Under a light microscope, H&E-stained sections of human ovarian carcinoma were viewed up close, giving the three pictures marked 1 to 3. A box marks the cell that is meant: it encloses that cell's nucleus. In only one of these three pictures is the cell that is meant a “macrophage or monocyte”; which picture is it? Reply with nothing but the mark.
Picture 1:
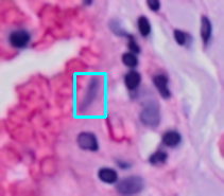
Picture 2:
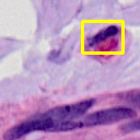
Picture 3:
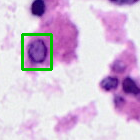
3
